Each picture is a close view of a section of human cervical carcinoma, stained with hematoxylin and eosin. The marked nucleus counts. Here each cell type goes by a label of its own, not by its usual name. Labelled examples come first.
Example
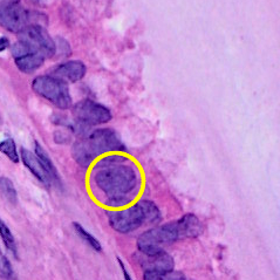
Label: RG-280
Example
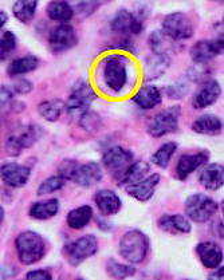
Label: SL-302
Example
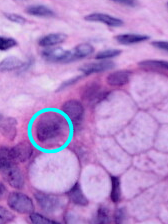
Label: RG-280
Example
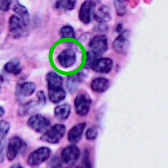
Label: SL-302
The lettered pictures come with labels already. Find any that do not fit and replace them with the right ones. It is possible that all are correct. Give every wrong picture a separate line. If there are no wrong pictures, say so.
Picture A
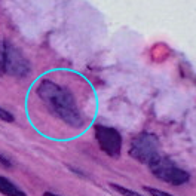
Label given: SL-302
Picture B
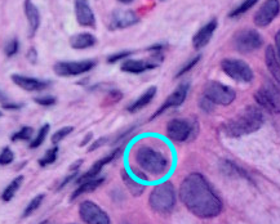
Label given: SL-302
A: change SL-302 to RG-280
B: change SL-302 to RG-280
